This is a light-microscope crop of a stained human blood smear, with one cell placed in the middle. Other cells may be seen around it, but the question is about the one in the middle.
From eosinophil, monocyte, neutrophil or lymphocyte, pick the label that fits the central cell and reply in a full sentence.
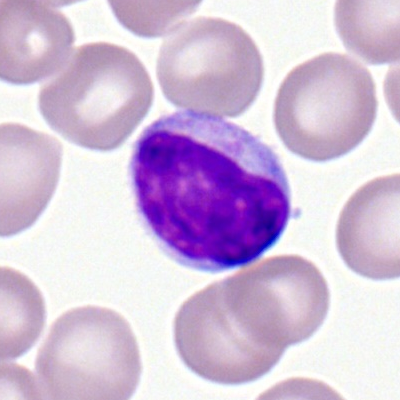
The cell featured at the centre of this crop is a lymphocyte.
